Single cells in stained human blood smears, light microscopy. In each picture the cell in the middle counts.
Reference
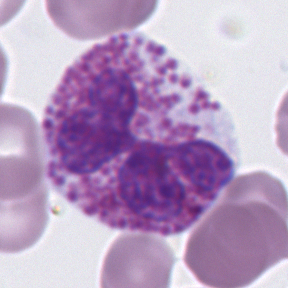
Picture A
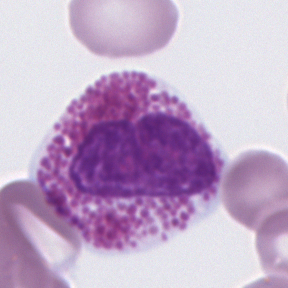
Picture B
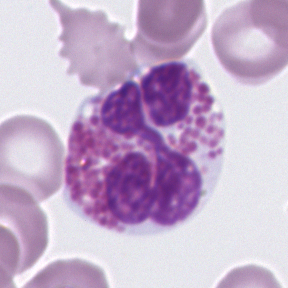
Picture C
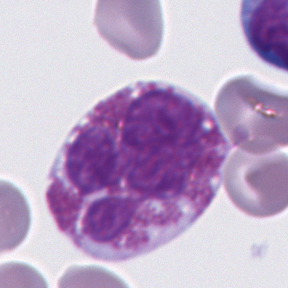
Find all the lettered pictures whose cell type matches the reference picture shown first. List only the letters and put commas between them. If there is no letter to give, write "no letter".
A, B, C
